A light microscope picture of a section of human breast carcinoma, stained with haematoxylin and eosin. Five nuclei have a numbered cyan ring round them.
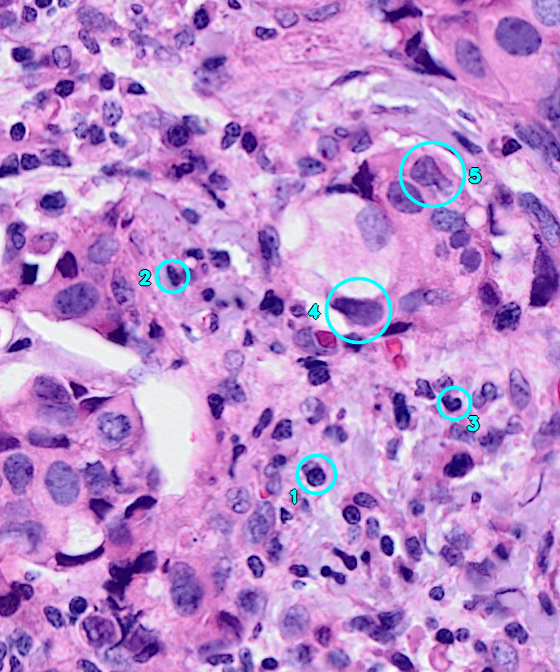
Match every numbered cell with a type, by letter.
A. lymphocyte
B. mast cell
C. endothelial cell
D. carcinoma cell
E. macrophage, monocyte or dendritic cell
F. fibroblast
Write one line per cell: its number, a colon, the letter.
1: A
2: A
3: A
4: D
5: D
